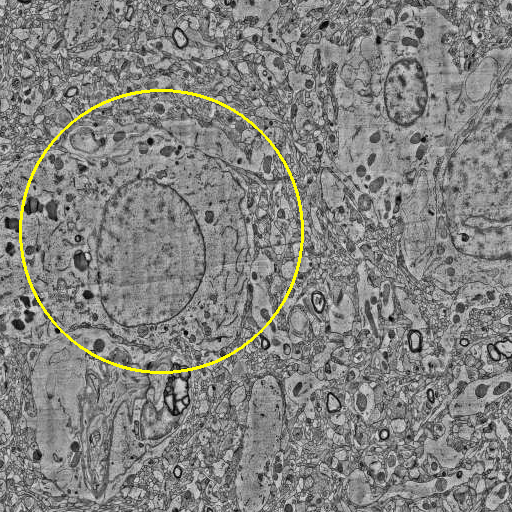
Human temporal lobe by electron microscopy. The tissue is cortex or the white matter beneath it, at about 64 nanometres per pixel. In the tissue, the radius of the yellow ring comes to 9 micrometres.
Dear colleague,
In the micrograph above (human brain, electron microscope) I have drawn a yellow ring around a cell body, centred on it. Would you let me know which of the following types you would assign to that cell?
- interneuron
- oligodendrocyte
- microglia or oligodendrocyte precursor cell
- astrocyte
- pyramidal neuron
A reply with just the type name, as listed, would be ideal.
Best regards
pyramidal neuron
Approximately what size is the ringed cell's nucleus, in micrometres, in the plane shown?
About 10 by 7 micrometres in this plane.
